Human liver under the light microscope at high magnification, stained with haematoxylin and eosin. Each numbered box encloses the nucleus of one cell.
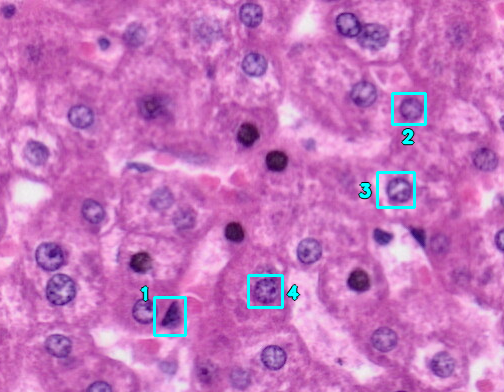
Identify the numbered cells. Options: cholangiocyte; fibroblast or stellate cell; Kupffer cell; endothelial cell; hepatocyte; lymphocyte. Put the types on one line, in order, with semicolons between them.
fibroblast or stellate cell; hepatocyte; hepatocyte; hepatocyte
